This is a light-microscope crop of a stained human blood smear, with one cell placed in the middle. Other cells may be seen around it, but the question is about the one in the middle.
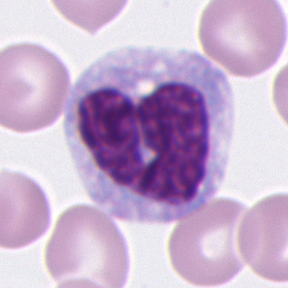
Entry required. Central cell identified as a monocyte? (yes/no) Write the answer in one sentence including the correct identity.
Yes, the cell in the center of the field is a monocyte.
